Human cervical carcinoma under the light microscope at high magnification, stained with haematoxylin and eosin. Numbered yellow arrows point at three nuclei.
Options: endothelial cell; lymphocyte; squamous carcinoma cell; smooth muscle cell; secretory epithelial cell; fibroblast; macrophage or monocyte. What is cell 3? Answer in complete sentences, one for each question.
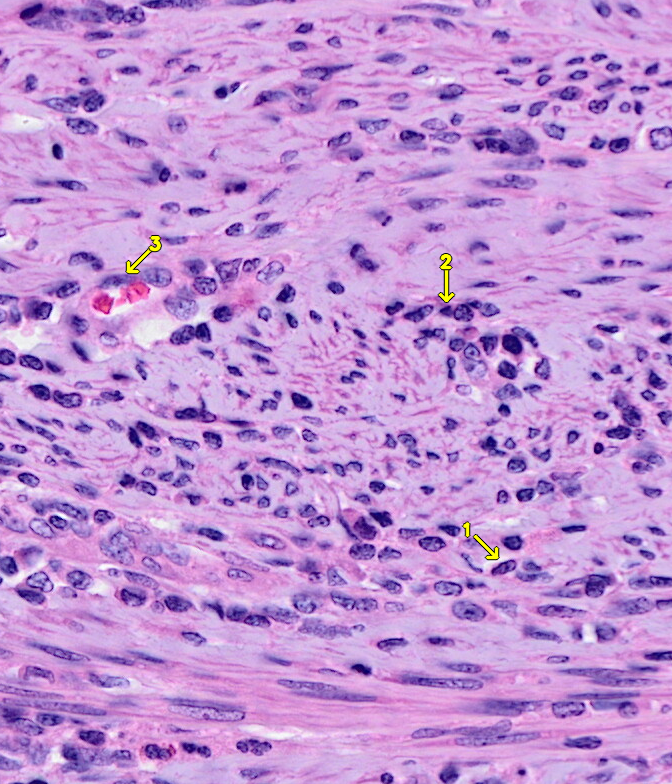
The one numbered 3 among the marked cells is an endothelial cell.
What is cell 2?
The cell assigned the number 2 is a lymphocyte.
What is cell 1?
Looking at the numbered marks, cell 1 is a lymphocyte.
